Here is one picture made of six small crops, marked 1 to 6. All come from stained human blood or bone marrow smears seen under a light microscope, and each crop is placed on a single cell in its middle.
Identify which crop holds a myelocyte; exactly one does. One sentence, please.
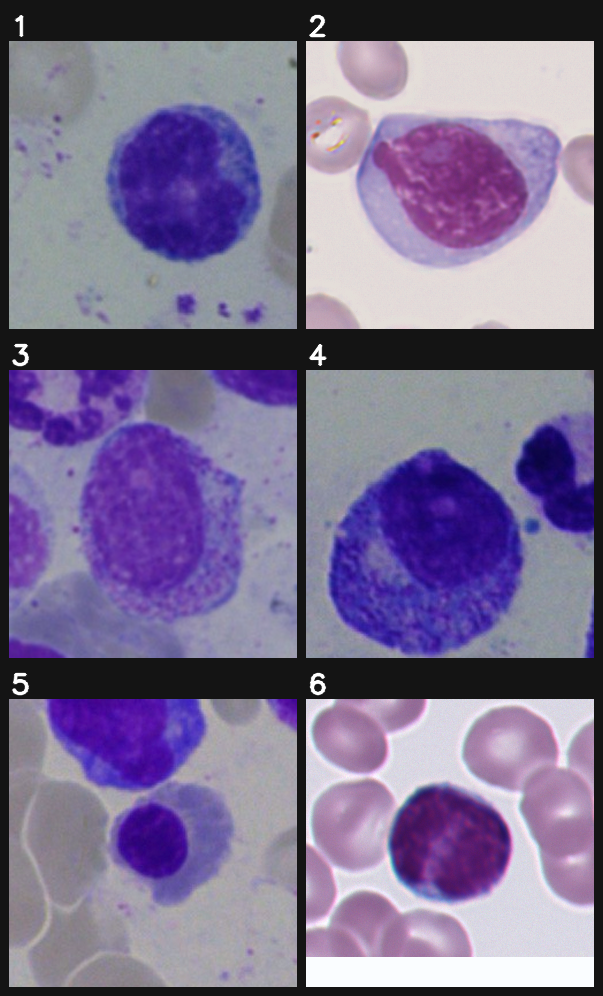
Crop 3 is the correct crop, and it shows a myelocyte.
